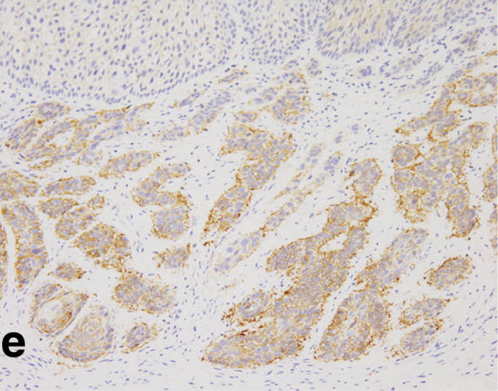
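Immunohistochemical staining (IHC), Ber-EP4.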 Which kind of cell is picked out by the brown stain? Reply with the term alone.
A: Basaloid squamous cancer cells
